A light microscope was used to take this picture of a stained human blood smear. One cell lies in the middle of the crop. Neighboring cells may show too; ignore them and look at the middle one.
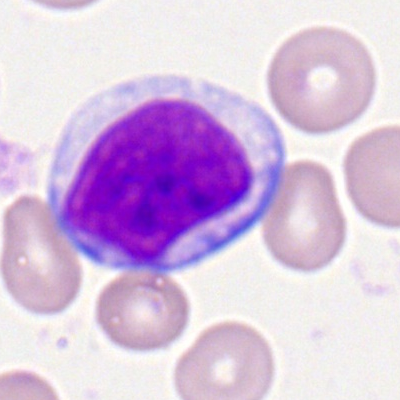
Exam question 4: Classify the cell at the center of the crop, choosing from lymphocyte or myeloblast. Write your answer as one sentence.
The centrally placed cell is classified as a myeloblast.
